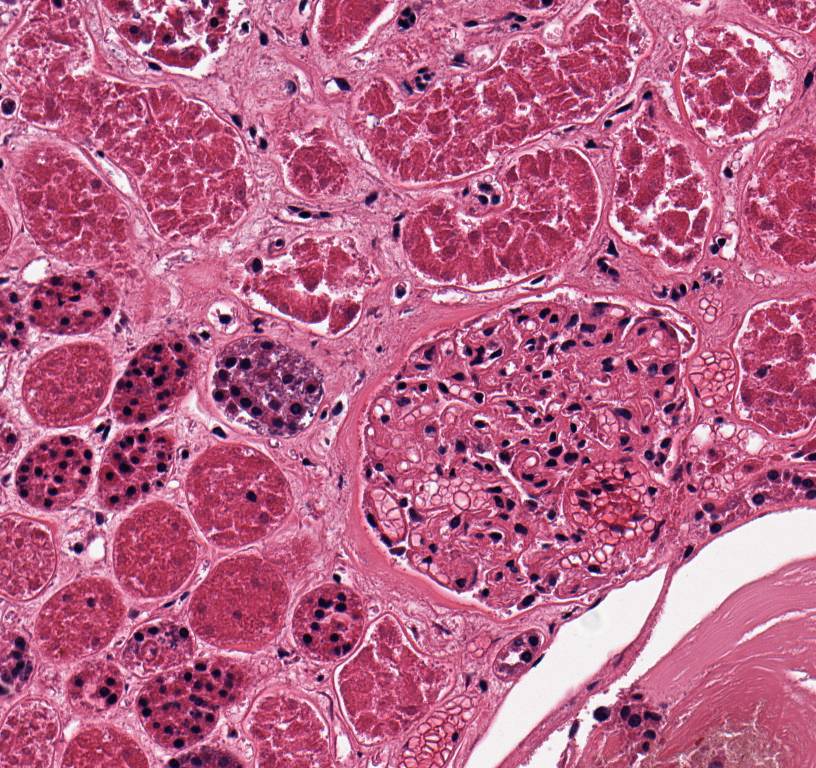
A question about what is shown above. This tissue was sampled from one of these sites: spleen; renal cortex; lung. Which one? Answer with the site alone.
renal cortex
